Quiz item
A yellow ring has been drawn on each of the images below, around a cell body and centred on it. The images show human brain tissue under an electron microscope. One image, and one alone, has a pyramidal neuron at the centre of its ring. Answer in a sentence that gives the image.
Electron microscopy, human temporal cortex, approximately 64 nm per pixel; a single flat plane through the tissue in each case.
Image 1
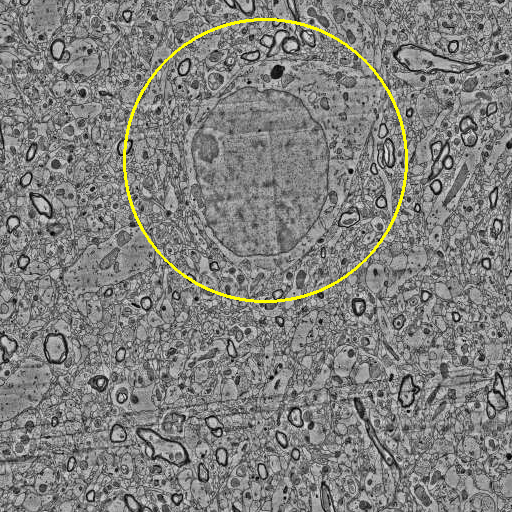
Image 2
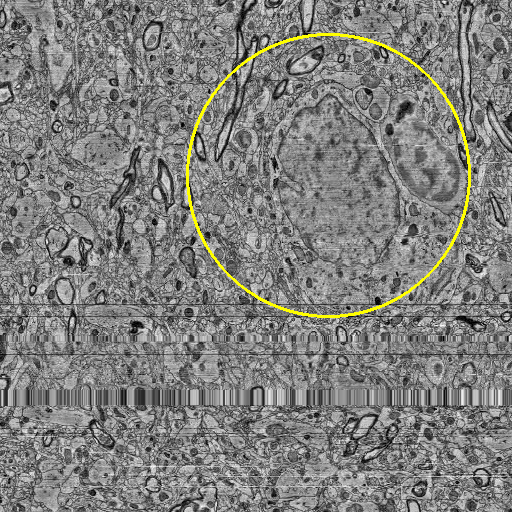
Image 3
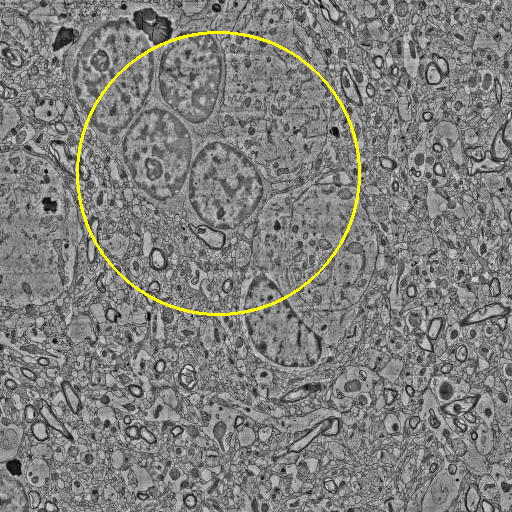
Image 1 shows it at the centre of the ring.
